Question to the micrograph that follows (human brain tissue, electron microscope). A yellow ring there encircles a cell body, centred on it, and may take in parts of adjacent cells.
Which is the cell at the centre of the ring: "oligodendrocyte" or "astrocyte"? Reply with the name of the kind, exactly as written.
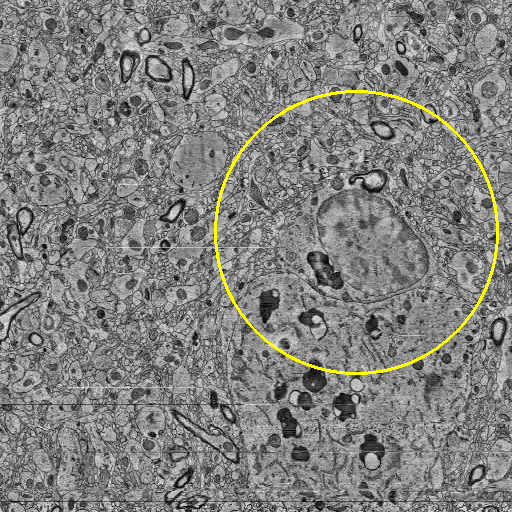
oligodendrocyte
